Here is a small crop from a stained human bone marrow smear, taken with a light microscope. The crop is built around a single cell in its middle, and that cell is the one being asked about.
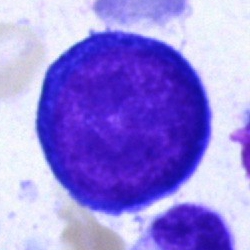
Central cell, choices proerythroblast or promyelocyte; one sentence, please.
The cell nearest the centre of this crop is a proerythroblast.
